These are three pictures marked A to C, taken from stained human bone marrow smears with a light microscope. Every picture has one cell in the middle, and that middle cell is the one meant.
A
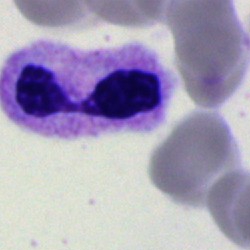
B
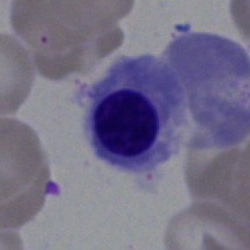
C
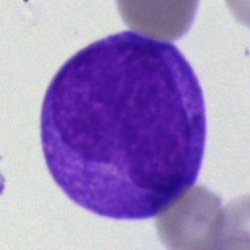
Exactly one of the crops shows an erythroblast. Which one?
B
